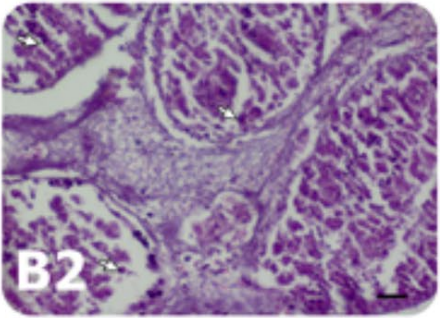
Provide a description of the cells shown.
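The image shows several seminiferous tubules with badly disturbed contents, separated by a broad pale interstitium. Inside the tubules the normal layered arrangement is lost, and the space is filled with shrunken, irregular cells with pink cytoplasm. Many nuclei are small, dense and dark purple. Clefts separate the tubule contents from the tubule walls. The interstitium between the tubules is widened and made up of loose, pale, finely fibrous tissue.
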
